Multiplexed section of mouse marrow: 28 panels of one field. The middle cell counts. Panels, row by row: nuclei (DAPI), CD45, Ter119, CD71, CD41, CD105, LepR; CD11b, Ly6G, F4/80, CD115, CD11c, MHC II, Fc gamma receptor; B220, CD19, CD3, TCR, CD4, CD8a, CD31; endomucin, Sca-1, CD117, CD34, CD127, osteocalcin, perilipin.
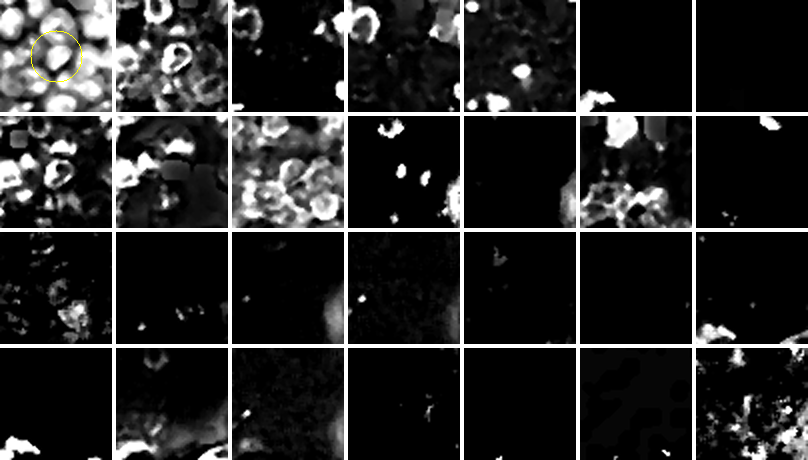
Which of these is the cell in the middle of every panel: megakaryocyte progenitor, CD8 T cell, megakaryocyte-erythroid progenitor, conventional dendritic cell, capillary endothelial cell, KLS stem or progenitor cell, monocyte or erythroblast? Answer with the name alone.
monocyte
